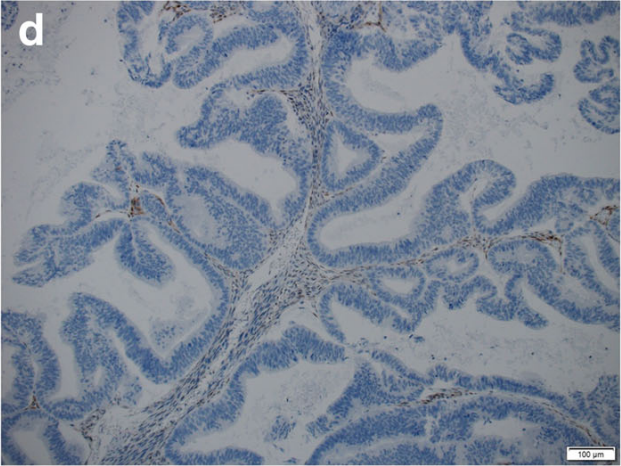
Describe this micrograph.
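Tumor glands of columnar epithelium with stratified, elongated nuclei are stained only blue, without brown colour. In contrast, the spindle-shaped interstitial cells and scattered inflammatory cells of the stroma between the glands carry brown staining.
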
